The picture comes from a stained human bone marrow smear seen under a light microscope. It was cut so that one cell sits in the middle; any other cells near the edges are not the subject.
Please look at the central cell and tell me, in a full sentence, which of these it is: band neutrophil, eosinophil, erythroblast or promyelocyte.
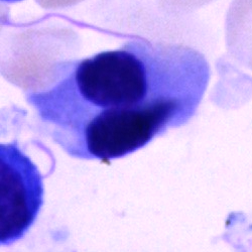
The cell that lies at the centre of the crop is an erythroblast.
